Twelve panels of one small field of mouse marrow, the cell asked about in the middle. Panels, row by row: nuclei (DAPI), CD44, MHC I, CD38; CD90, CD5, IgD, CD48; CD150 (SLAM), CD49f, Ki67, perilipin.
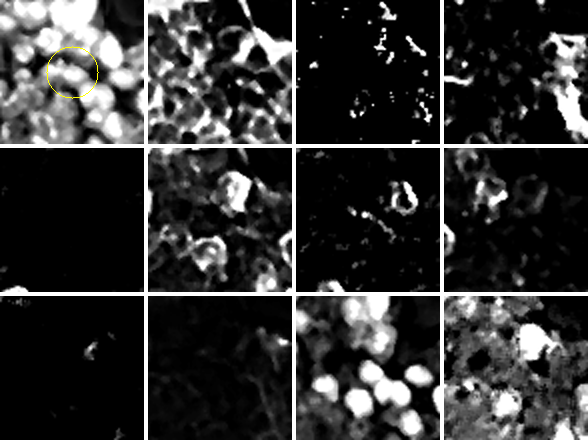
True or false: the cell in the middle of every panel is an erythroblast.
True.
